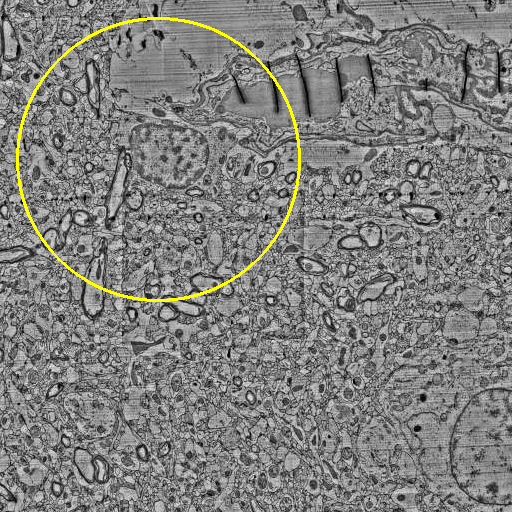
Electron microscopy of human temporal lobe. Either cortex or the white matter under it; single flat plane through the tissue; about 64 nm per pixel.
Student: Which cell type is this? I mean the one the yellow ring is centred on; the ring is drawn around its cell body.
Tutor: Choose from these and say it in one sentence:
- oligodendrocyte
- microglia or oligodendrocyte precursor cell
The cell the ring is centred on is an oligodendrocyte.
